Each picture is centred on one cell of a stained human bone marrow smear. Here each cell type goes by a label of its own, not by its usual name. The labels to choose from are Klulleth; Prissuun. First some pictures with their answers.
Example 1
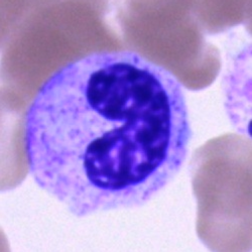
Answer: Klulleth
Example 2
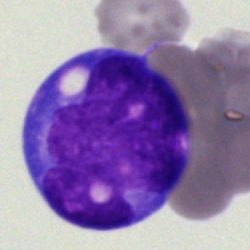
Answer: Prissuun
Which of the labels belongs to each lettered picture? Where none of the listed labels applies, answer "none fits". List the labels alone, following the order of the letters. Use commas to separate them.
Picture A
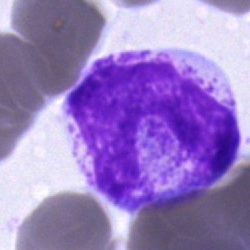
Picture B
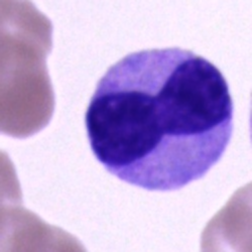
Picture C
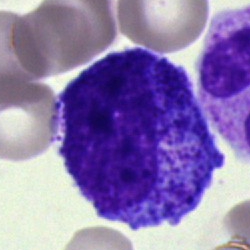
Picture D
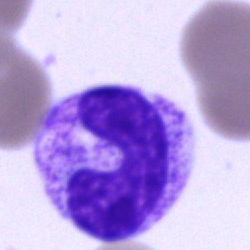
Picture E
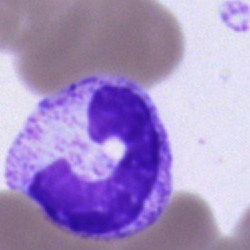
Klulleth, Klulleth, none fits, Klulleth, Klulleth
